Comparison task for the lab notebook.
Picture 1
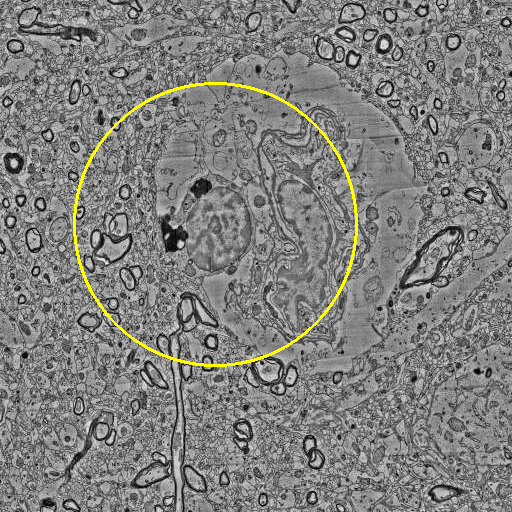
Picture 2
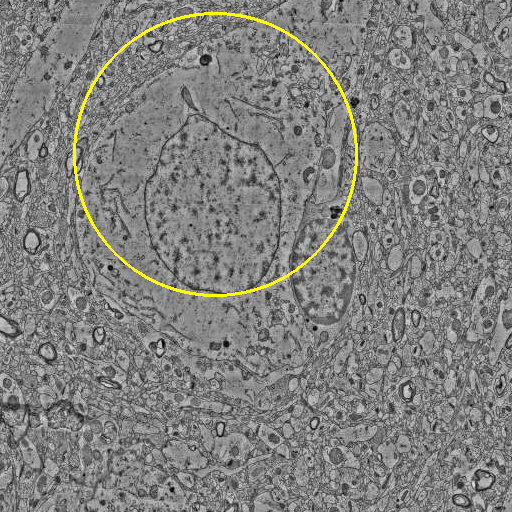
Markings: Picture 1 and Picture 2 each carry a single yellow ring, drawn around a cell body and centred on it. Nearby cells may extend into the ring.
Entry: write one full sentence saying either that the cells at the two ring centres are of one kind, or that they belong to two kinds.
The cells sitting at the ring centres in Picture 1 and Picture 2 belong to two kinds.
